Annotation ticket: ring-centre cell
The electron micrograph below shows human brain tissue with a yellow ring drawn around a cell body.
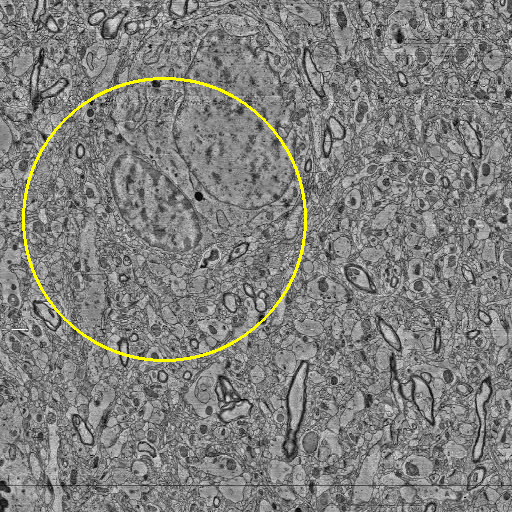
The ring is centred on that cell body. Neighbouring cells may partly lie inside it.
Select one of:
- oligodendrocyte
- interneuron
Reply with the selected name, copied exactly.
oligodendrocyte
